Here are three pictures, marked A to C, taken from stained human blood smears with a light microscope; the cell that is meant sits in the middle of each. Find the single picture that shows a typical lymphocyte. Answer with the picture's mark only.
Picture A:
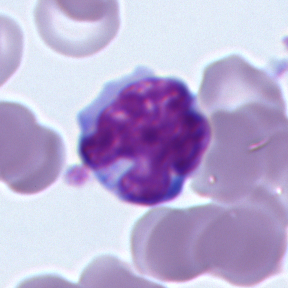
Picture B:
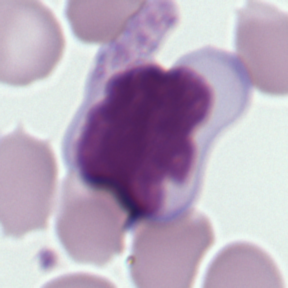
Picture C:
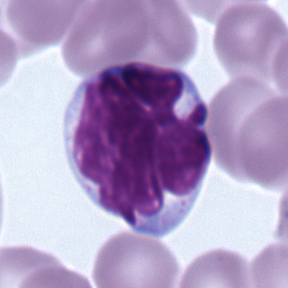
A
